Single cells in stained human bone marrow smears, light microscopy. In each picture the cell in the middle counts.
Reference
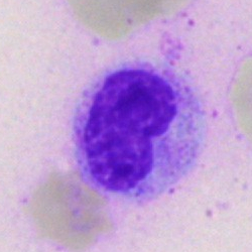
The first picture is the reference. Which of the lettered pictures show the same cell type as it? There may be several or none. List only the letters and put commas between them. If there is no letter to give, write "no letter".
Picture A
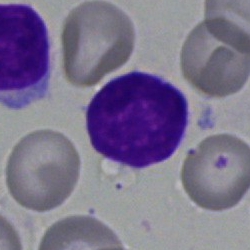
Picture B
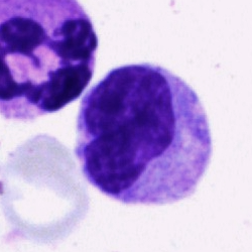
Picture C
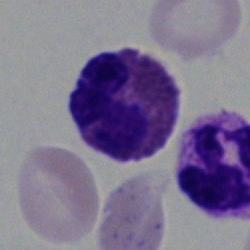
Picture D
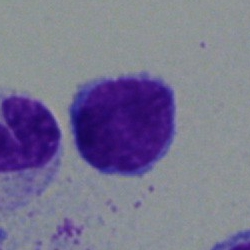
B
